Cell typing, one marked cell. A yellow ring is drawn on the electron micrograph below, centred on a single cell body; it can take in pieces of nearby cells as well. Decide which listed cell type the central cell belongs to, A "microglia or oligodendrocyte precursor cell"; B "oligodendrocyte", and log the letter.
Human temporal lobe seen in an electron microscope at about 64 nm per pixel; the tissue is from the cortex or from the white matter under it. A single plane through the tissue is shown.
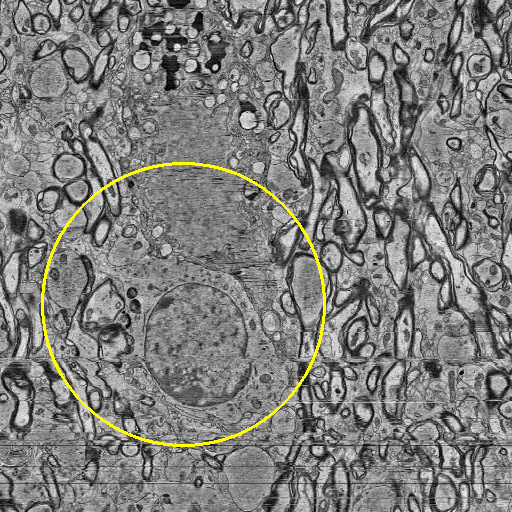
A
